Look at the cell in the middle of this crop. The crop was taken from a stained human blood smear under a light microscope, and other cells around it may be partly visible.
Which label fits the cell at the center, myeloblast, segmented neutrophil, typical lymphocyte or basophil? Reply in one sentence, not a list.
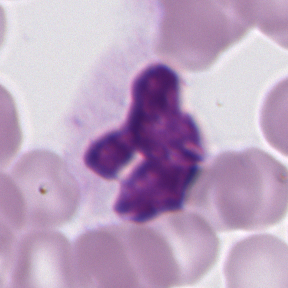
The cell in the middle of this crop is a segmented neutrophil.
